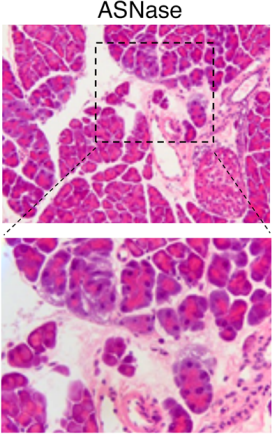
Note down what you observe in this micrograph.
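Pancreas with acinar lobules split apart by wide pale interstitial spaces. Acini are clusters of pyramidal cells with pink-purple cytoplasm and dark purple nuclei, some groups rounded and detached from their neighbours. The widened spaces hold loose pale fibrillar material with scattered small dark nuclei, and a vessel lies among them.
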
